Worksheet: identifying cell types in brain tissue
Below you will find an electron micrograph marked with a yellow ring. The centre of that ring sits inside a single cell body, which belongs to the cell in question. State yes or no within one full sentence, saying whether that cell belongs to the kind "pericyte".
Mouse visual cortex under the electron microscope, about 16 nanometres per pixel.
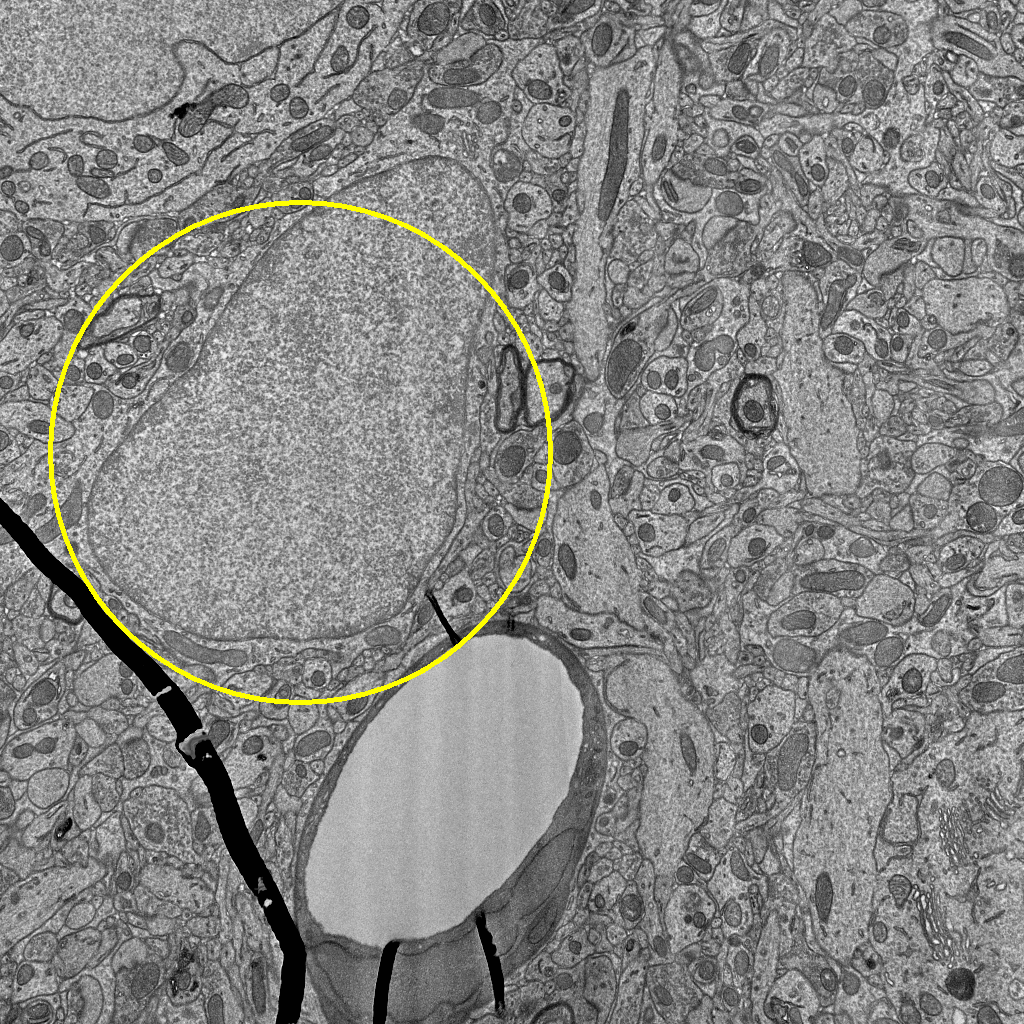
No, the cell whose body contains the centre of the yellow ring in this picture is of another kind.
